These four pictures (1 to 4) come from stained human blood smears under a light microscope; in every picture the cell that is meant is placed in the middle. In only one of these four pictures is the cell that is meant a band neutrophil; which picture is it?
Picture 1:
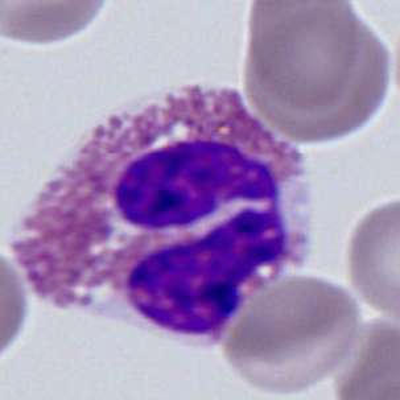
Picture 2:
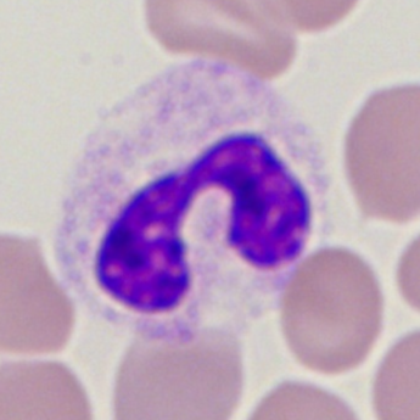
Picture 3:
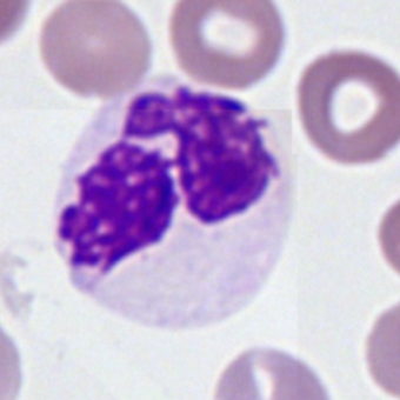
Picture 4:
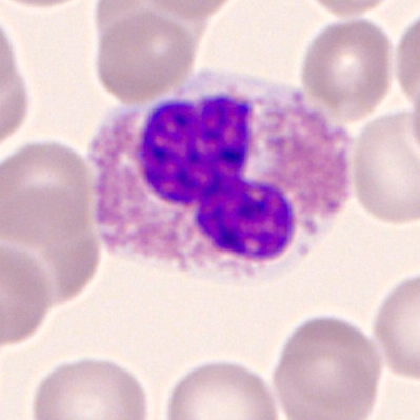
2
